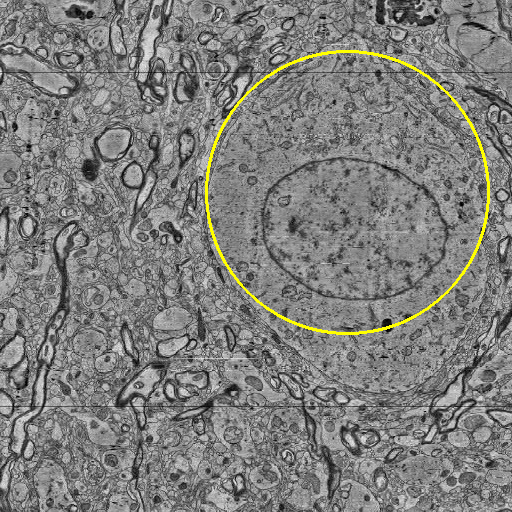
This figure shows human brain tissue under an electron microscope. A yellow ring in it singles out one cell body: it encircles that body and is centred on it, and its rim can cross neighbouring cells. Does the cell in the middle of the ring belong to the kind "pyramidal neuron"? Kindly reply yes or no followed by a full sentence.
Yes, the kind asked about is right for the cell centred in the figure's ring.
